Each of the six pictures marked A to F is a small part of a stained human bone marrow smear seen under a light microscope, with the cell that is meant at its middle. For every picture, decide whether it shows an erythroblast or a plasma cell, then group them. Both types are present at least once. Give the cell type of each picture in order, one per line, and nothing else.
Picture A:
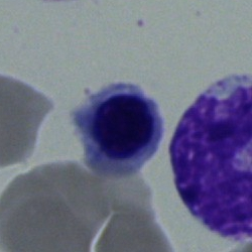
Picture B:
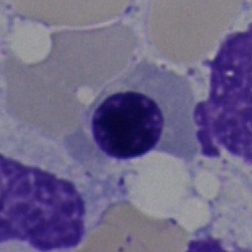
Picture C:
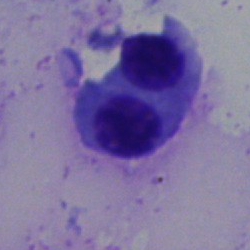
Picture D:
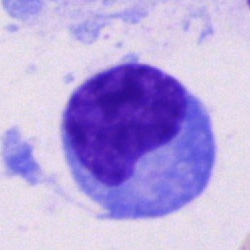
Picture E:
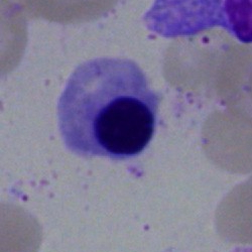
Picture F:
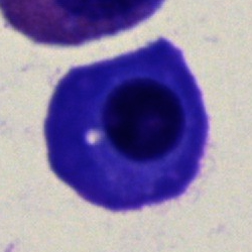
erythroblast
erythroblast
erythroblast
plasma cell
erythroblast
plasma cell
